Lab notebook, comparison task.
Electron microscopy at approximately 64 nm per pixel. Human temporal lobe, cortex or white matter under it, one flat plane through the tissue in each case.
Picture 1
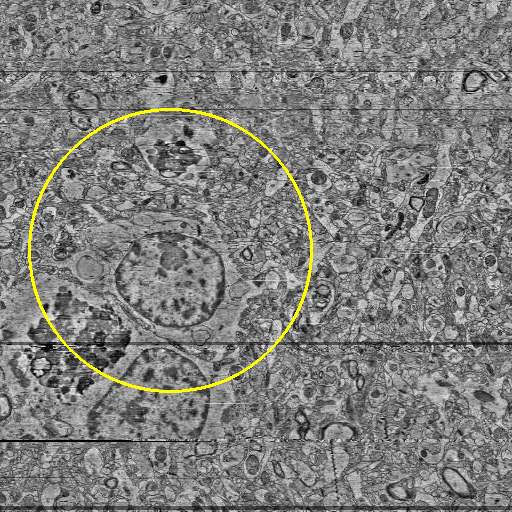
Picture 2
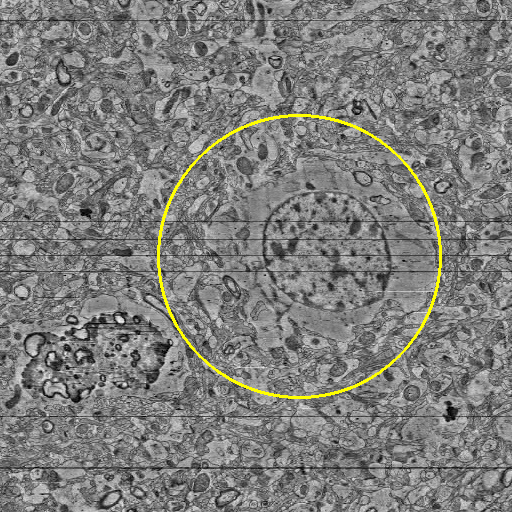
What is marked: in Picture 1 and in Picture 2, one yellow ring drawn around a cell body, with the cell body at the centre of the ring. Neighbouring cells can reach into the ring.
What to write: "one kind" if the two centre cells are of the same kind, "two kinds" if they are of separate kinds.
one kind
